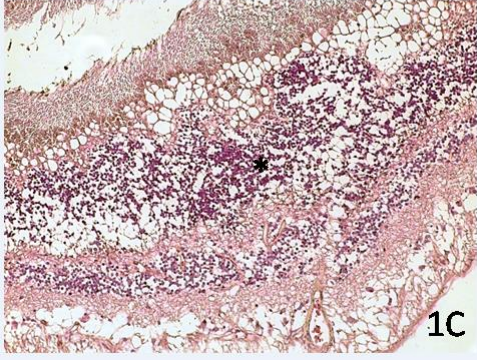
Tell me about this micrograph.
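A section of retina in pink and purple shows its nuclear layers as bands of small, round, dark purple nuclei, but the band in the middle is disorganised, its nuclei scattered in loose clumps among many clear, empty round spaces. Above it a layer is riddled with rows of clear vacuole-like holes, and pale pink fibrillar layers lie above and below. This is cystoid degeneration of the retinal layers, with loss of the orderly arrangement of the nuclei.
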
